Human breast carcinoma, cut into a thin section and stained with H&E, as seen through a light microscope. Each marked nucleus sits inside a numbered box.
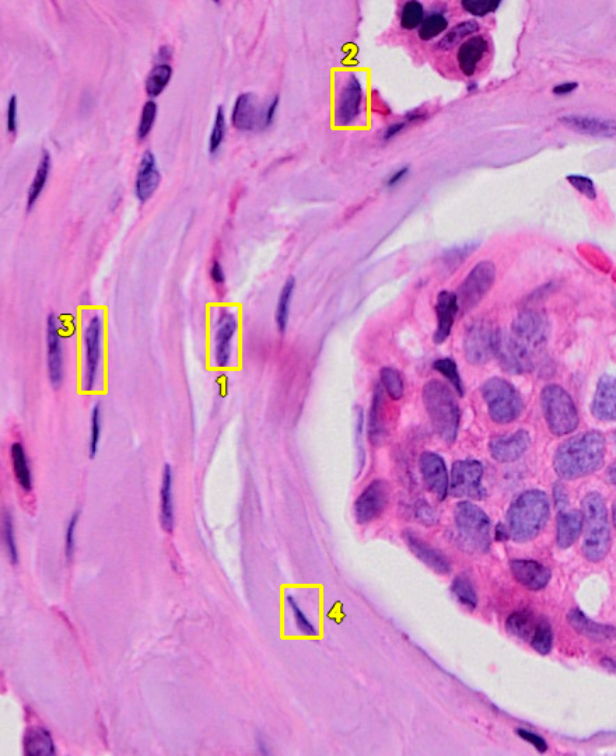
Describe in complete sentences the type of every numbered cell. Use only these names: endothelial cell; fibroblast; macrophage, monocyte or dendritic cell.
Cell 1 is a fibroblast, cell 2 is an endothelial cell, cell 3 is a fibroblast and cell 4 is a fibroblast.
